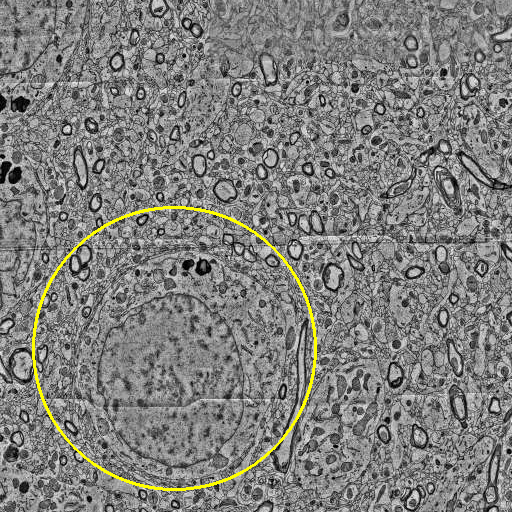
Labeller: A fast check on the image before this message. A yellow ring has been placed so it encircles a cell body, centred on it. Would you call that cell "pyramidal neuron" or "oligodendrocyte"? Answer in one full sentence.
In this image, a pyramidal neuron is the cell on which the yellow ring is centred.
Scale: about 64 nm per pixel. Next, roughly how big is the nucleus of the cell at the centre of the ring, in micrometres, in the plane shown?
In this plane, about 11 micrometres in length and 9 in width.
